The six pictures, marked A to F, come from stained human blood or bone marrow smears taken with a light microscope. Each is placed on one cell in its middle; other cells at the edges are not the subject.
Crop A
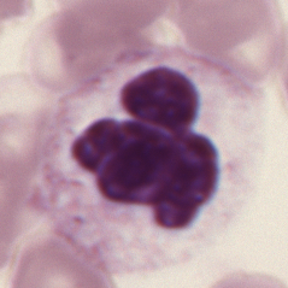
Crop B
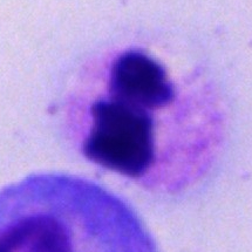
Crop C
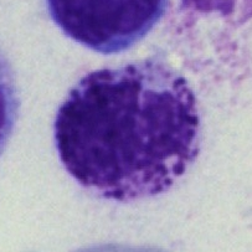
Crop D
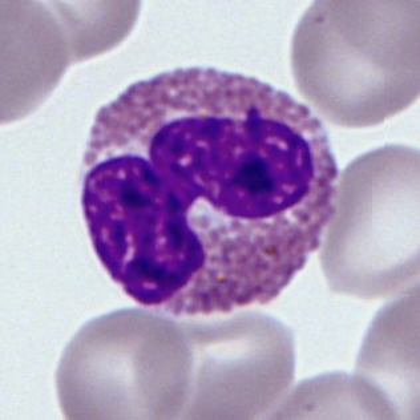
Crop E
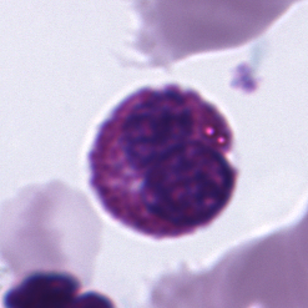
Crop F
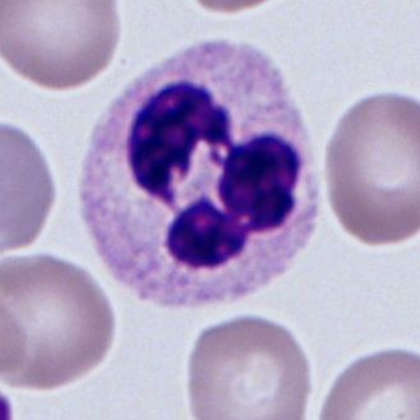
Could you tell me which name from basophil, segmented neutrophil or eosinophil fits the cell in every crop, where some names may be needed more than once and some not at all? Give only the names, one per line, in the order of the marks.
segmented neutrophil
segmented neutrophil
basophil
eosinophil
eosinophil
segmented neutrophil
